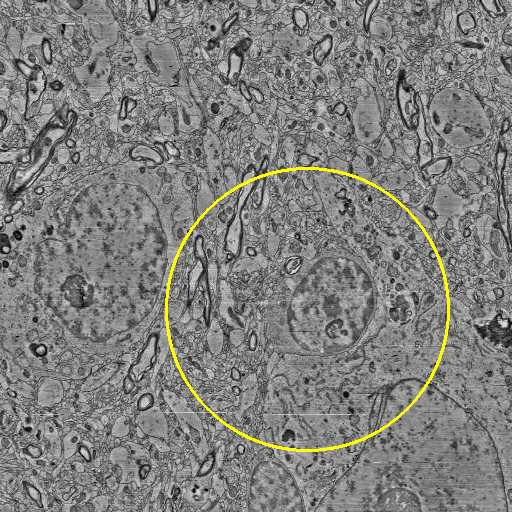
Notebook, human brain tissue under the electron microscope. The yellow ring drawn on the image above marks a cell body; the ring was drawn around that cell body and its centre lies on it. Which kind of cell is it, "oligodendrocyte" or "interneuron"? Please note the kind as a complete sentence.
The marked cell body is that of an oligodendrocyte.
